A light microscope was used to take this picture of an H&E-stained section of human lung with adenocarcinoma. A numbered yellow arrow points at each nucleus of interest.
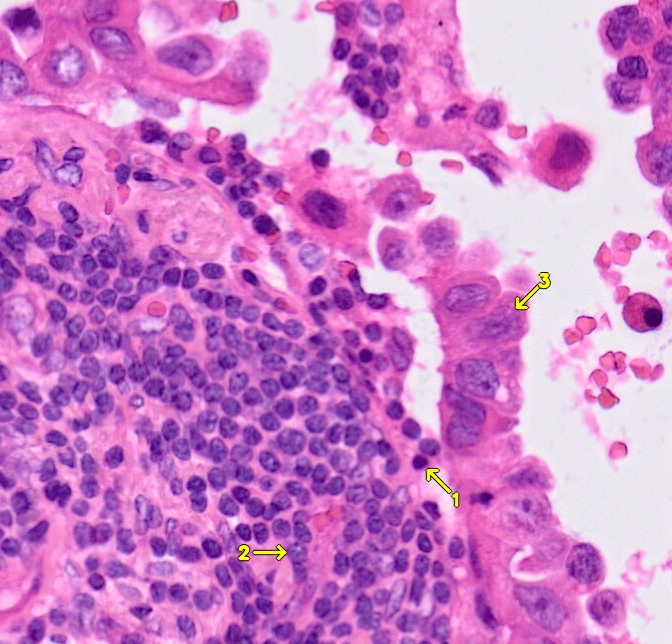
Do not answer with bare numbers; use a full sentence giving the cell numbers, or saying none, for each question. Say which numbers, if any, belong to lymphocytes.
The cells the numbers 1 and 2 point to are lymphocytes.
